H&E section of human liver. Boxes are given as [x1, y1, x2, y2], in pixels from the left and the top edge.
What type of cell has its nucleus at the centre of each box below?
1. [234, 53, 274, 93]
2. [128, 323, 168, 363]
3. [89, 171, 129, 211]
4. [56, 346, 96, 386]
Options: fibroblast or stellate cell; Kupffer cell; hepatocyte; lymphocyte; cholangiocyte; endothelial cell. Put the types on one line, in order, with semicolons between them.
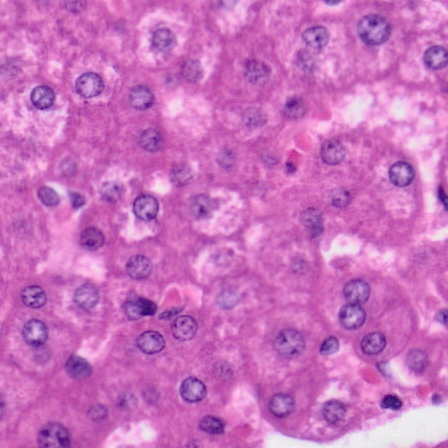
hepatocyte; hepatocyte; hepatocyte; endothelial cell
